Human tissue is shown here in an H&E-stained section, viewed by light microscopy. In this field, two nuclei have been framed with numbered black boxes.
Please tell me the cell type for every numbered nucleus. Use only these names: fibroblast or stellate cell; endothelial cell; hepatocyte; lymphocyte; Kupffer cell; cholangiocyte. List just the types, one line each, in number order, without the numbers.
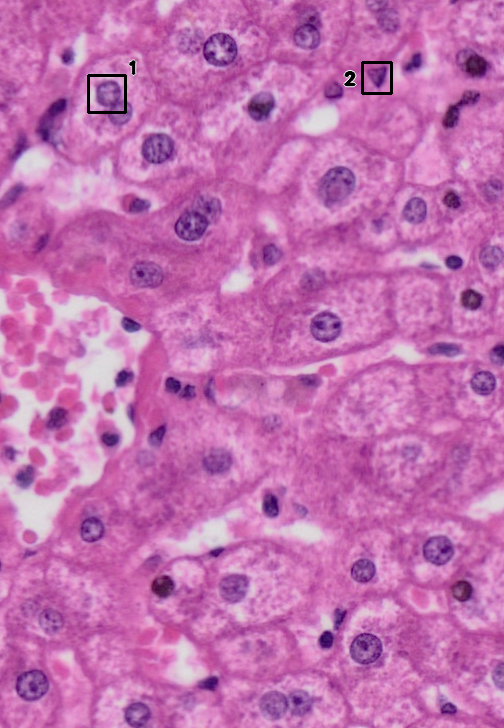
hepatocyte
endothelial cell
